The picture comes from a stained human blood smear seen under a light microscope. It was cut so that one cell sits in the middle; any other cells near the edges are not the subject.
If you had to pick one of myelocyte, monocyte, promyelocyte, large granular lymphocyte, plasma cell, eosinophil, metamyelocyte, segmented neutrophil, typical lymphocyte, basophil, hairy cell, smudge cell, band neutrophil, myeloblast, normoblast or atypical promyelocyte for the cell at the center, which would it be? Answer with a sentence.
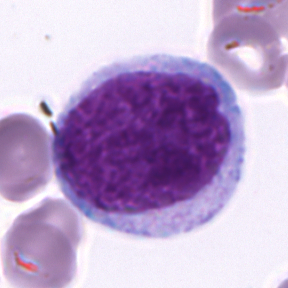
The cell at the middle of the frame should be recorded as a promyelocyte.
